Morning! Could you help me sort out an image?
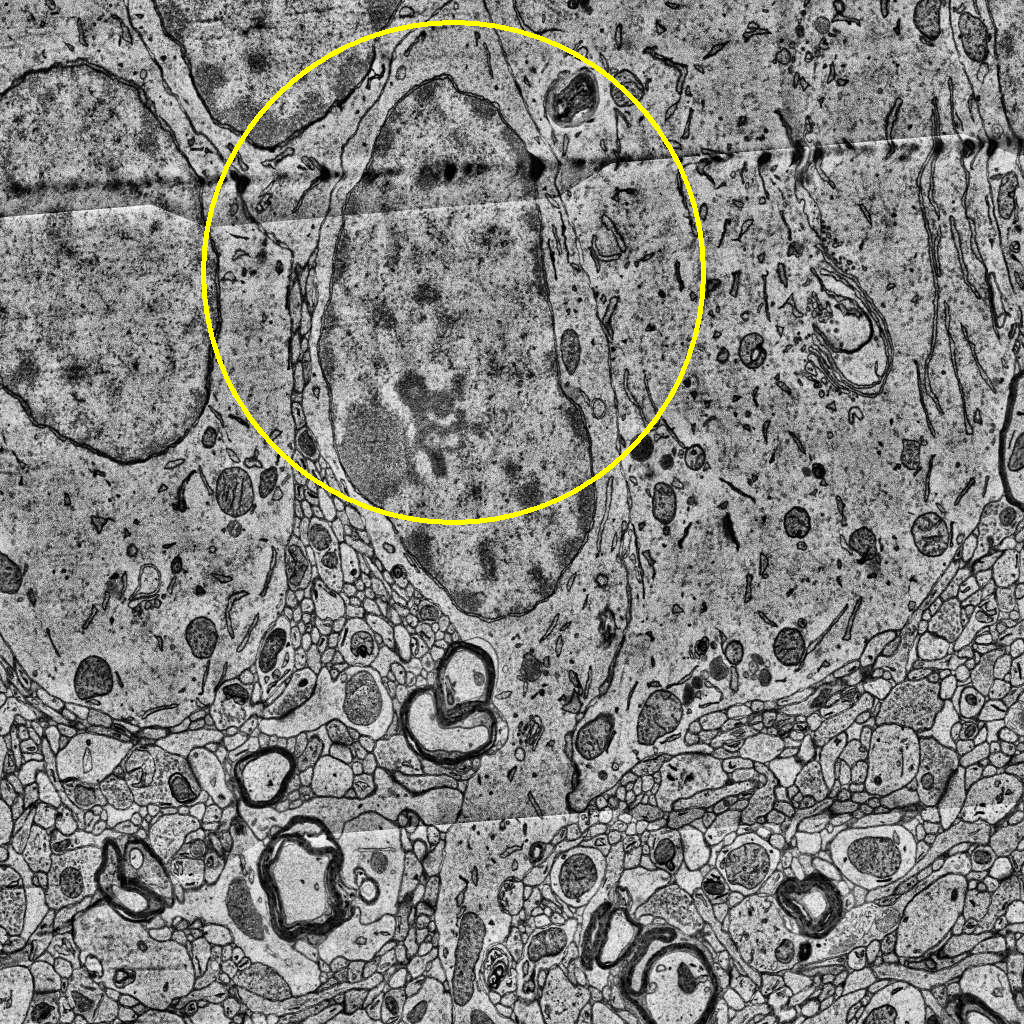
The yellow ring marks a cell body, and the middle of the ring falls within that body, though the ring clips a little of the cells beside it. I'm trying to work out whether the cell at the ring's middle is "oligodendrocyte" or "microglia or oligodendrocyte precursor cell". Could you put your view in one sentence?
The cell body at the ring's middle is that of a microglial cell or oligodendrocyte precursor cell.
